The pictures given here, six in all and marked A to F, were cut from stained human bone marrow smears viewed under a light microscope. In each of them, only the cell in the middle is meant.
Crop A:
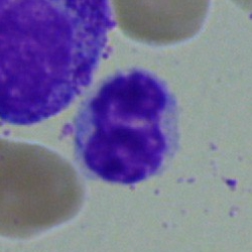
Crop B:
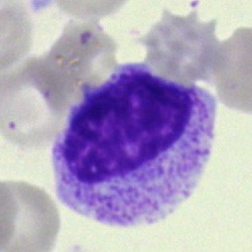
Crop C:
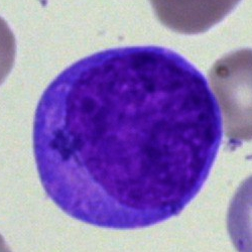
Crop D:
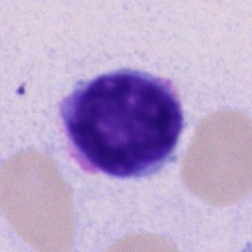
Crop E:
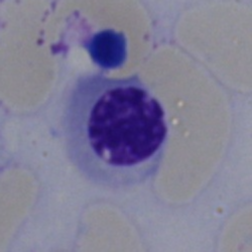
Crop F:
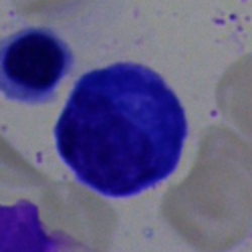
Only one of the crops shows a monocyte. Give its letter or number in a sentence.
The crop marked A is the one that shows a monocyte.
